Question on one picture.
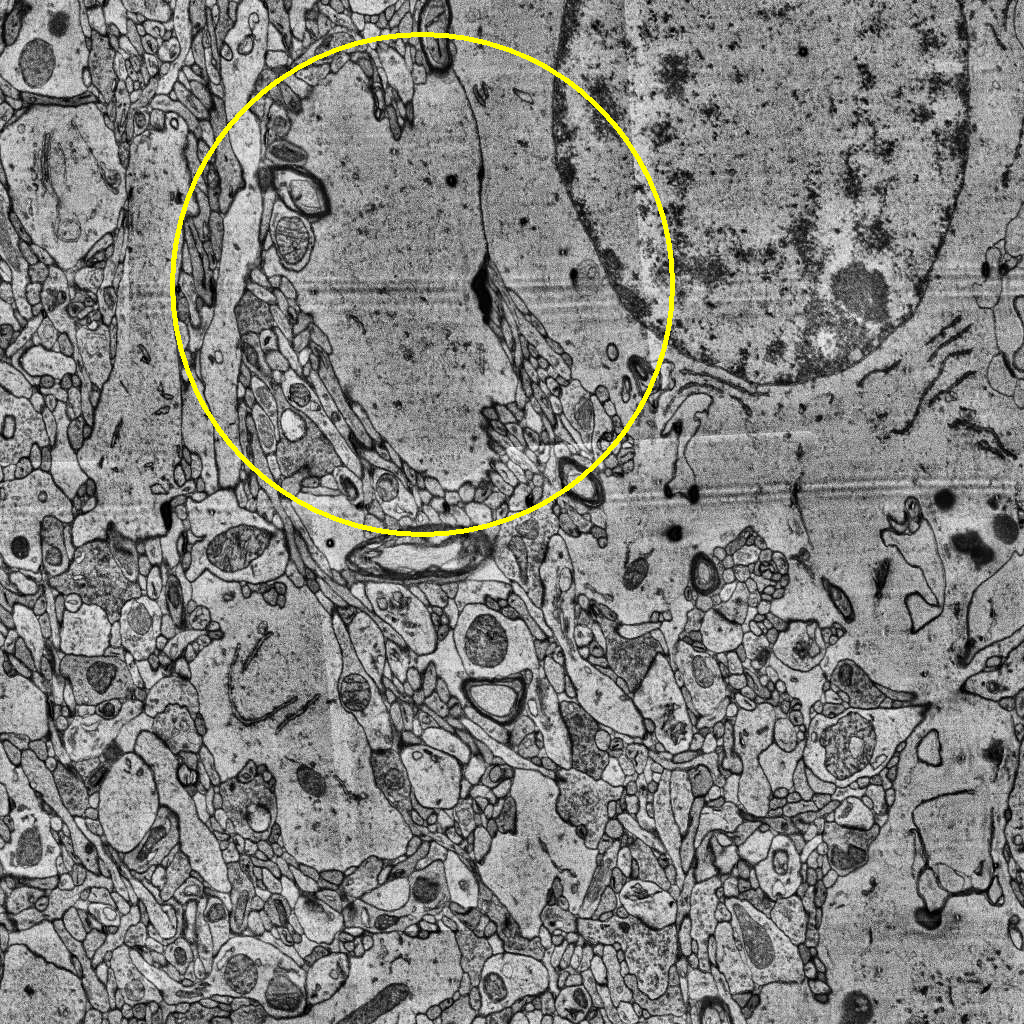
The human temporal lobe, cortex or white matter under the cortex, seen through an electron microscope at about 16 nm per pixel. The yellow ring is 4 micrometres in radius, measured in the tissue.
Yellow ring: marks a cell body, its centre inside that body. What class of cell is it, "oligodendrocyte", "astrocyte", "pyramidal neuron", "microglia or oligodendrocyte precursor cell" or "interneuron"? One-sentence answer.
This is an astrocyte, the cell at the ring's centre.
